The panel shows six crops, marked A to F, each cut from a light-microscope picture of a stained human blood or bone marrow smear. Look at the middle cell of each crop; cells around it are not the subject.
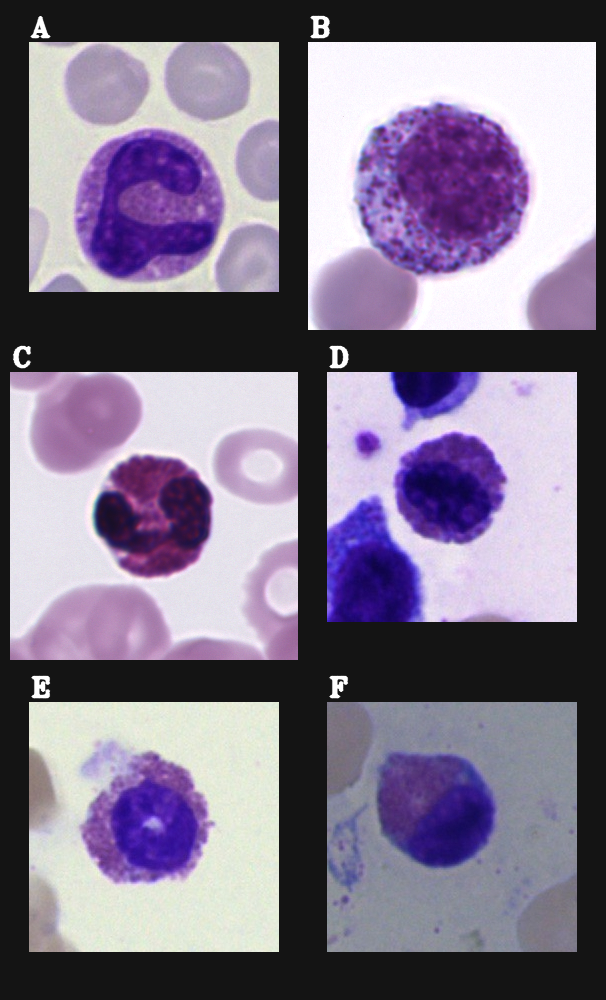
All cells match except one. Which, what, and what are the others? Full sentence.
What sets crop B apart is that it is a promyelocyte; the others are all eosinophils.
